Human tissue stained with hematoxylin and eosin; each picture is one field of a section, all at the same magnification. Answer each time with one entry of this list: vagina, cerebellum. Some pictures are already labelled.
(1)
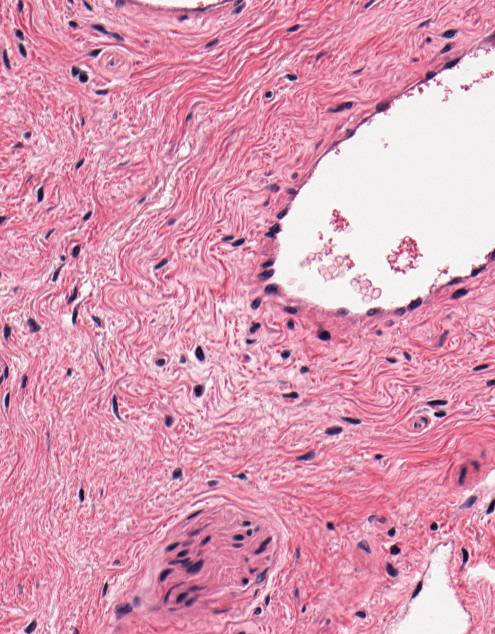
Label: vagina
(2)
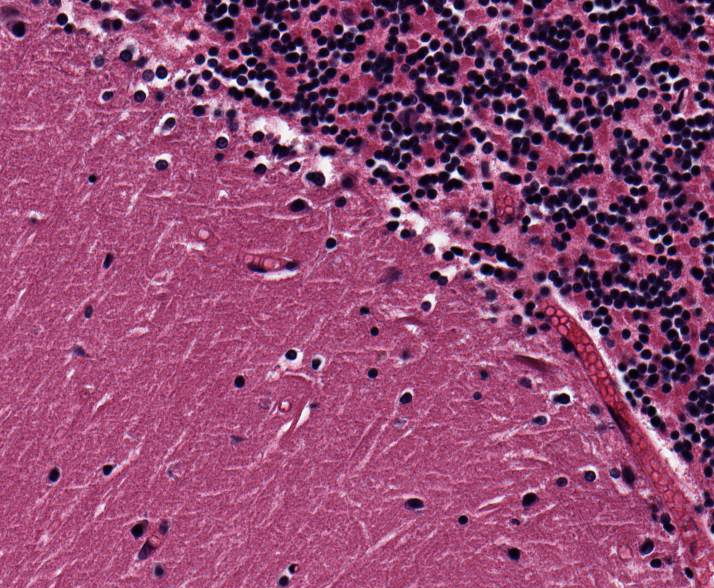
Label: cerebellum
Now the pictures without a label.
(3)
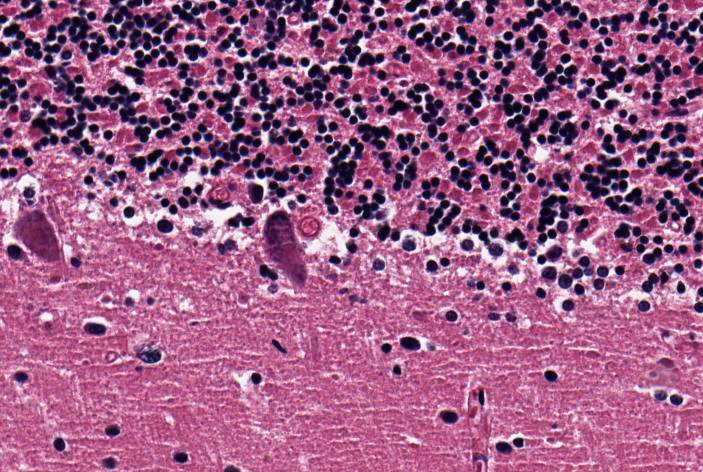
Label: cerebellum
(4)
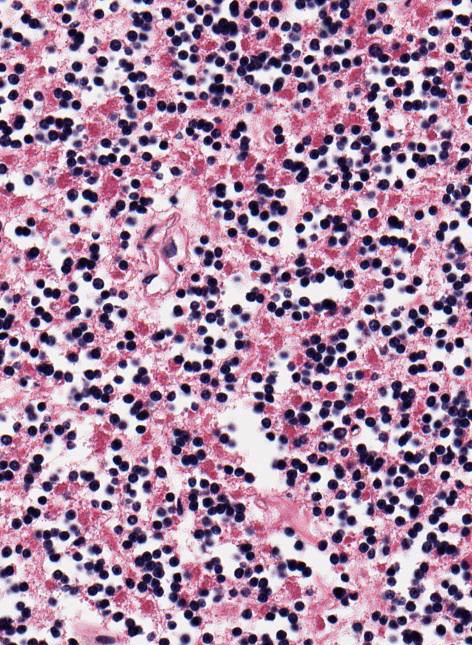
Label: cerebellum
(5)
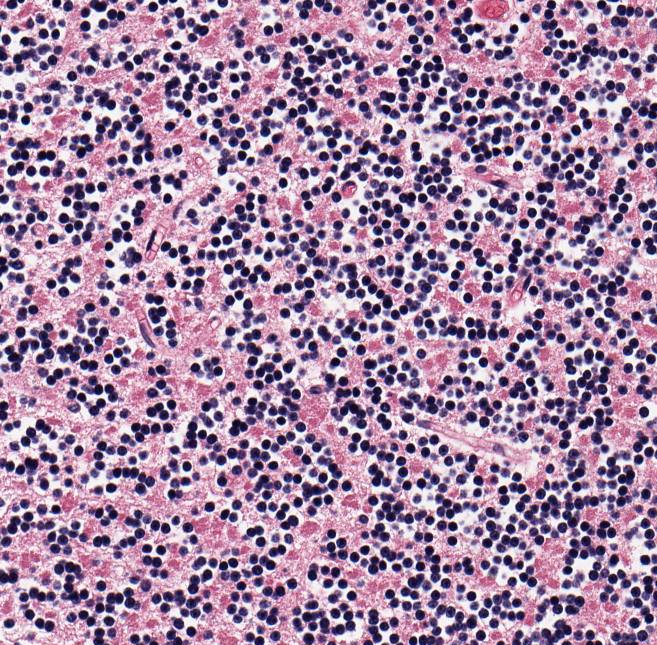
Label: cerebellum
